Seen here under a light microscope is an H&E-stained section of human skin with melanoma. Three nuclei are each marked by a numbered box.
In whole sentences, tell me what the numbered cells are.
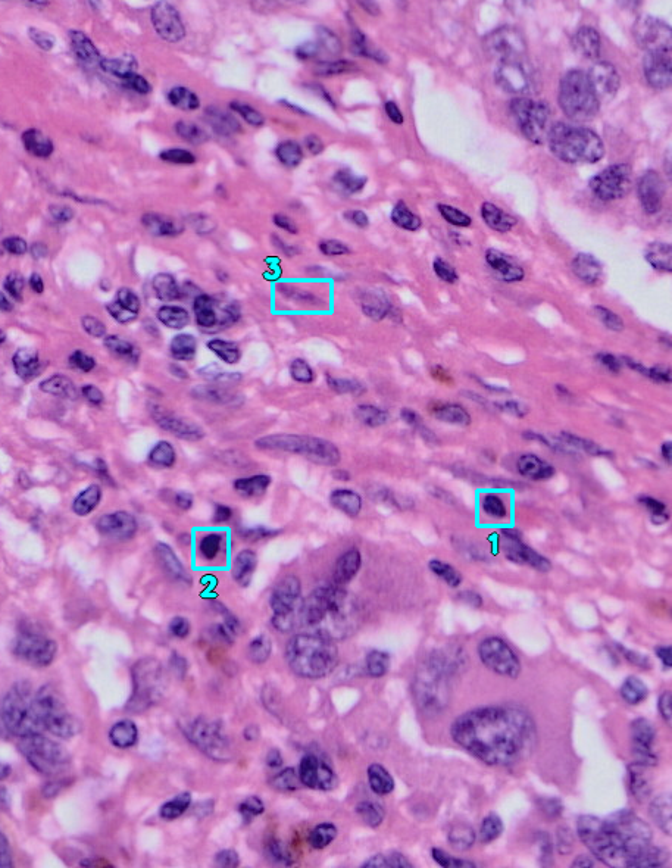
Cell 1 is a plasma cell, cell 2 is a plasma cell and cell 3 is a fibroblast or myofibroblast.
